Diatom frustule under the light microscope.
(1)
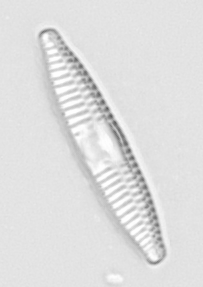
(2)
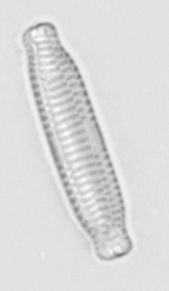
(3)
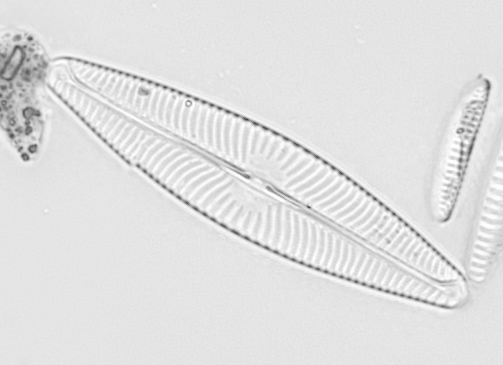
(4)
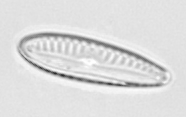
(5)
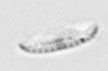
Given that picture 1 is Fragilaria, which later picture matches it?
2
